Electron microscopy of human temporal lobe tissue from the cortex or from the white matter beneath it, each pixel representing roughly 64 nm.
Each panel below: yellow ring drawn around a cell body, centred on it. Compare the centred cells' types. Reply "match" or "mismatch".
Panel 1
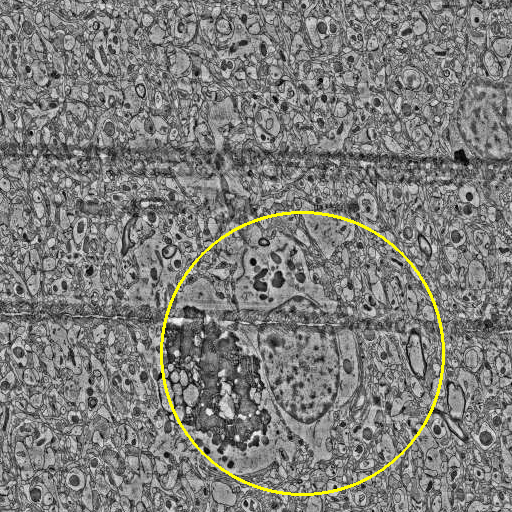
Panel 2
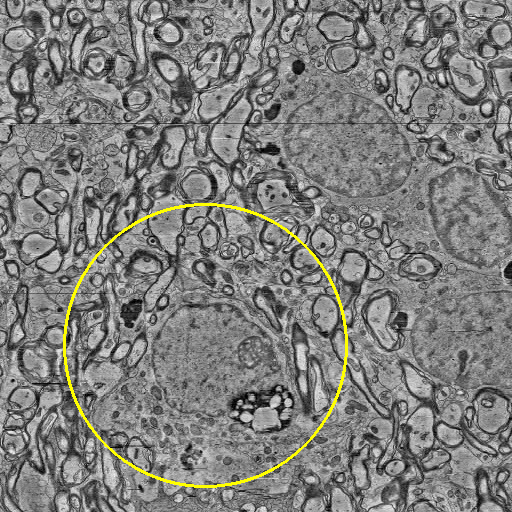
match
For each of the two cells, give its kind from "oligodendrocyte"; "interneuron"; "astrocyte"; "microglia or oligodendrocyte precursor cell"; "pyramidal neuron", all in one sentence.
Each cell at the centre of a ring is an astrocyte.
